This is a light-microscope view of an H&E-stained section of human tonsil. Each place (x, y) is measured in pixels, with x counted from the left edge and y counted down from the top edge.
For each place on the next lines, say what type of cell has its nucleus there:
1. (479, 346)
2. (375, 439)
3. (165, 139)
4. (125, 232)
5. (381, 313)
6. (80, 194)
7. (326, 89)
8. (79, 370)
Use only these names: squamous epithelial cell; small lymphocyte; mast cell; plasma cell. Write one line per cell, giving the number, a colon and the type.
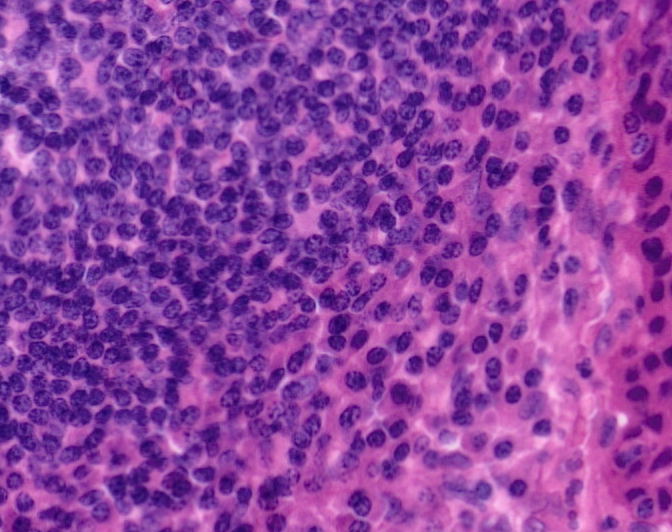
1: plasma cell
2: plasma cell
3: small lymphocyte
4: small lymphocyte
5: plasma cell
6: small lymphocyte
7: small lymphocyte
8: small lymphocyte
